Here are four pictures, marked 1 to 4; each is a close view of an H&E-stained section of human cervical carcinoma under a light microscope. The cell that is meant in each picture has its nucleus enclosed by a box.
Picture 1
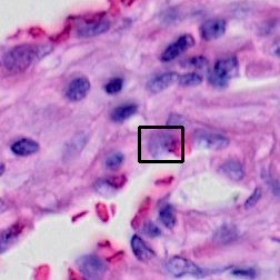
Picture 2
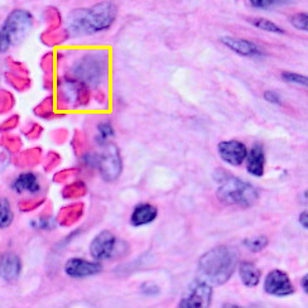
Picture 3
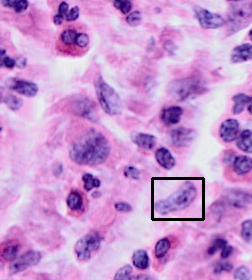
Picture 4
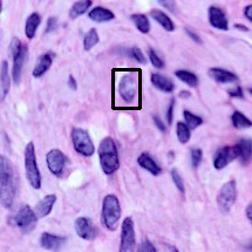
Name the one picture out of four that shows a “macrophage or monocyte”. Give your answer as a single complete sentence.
Picture 3 shows the “macrophage or monocyte”.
